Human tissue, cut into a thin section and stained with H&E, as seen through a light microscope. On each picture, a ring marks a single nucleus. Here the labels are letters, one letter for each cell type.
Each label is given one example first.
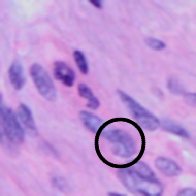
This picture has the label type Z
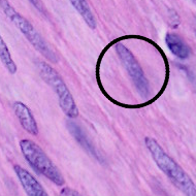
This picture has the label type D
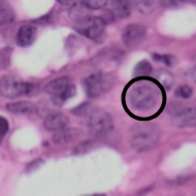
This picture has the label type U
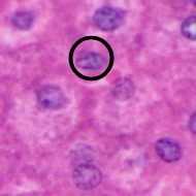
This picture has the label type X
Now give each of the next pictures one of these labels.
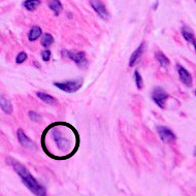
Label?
type D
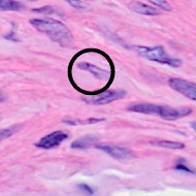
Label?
type D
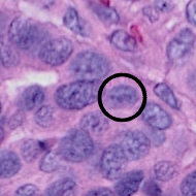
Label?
type U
